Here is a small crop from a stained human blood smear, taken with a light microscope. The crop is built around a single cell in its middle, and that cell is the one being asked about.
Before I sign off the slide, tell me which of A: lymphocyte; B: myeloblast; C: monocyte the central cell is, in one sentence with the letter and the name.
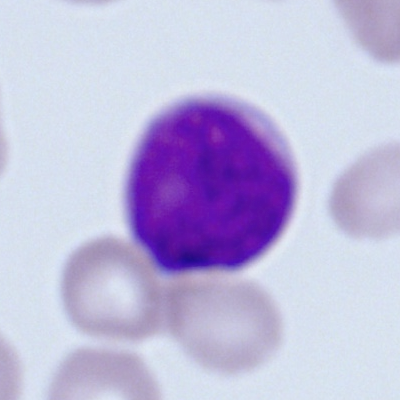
The middle of the crop holds a myeloblast, which points to option B.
